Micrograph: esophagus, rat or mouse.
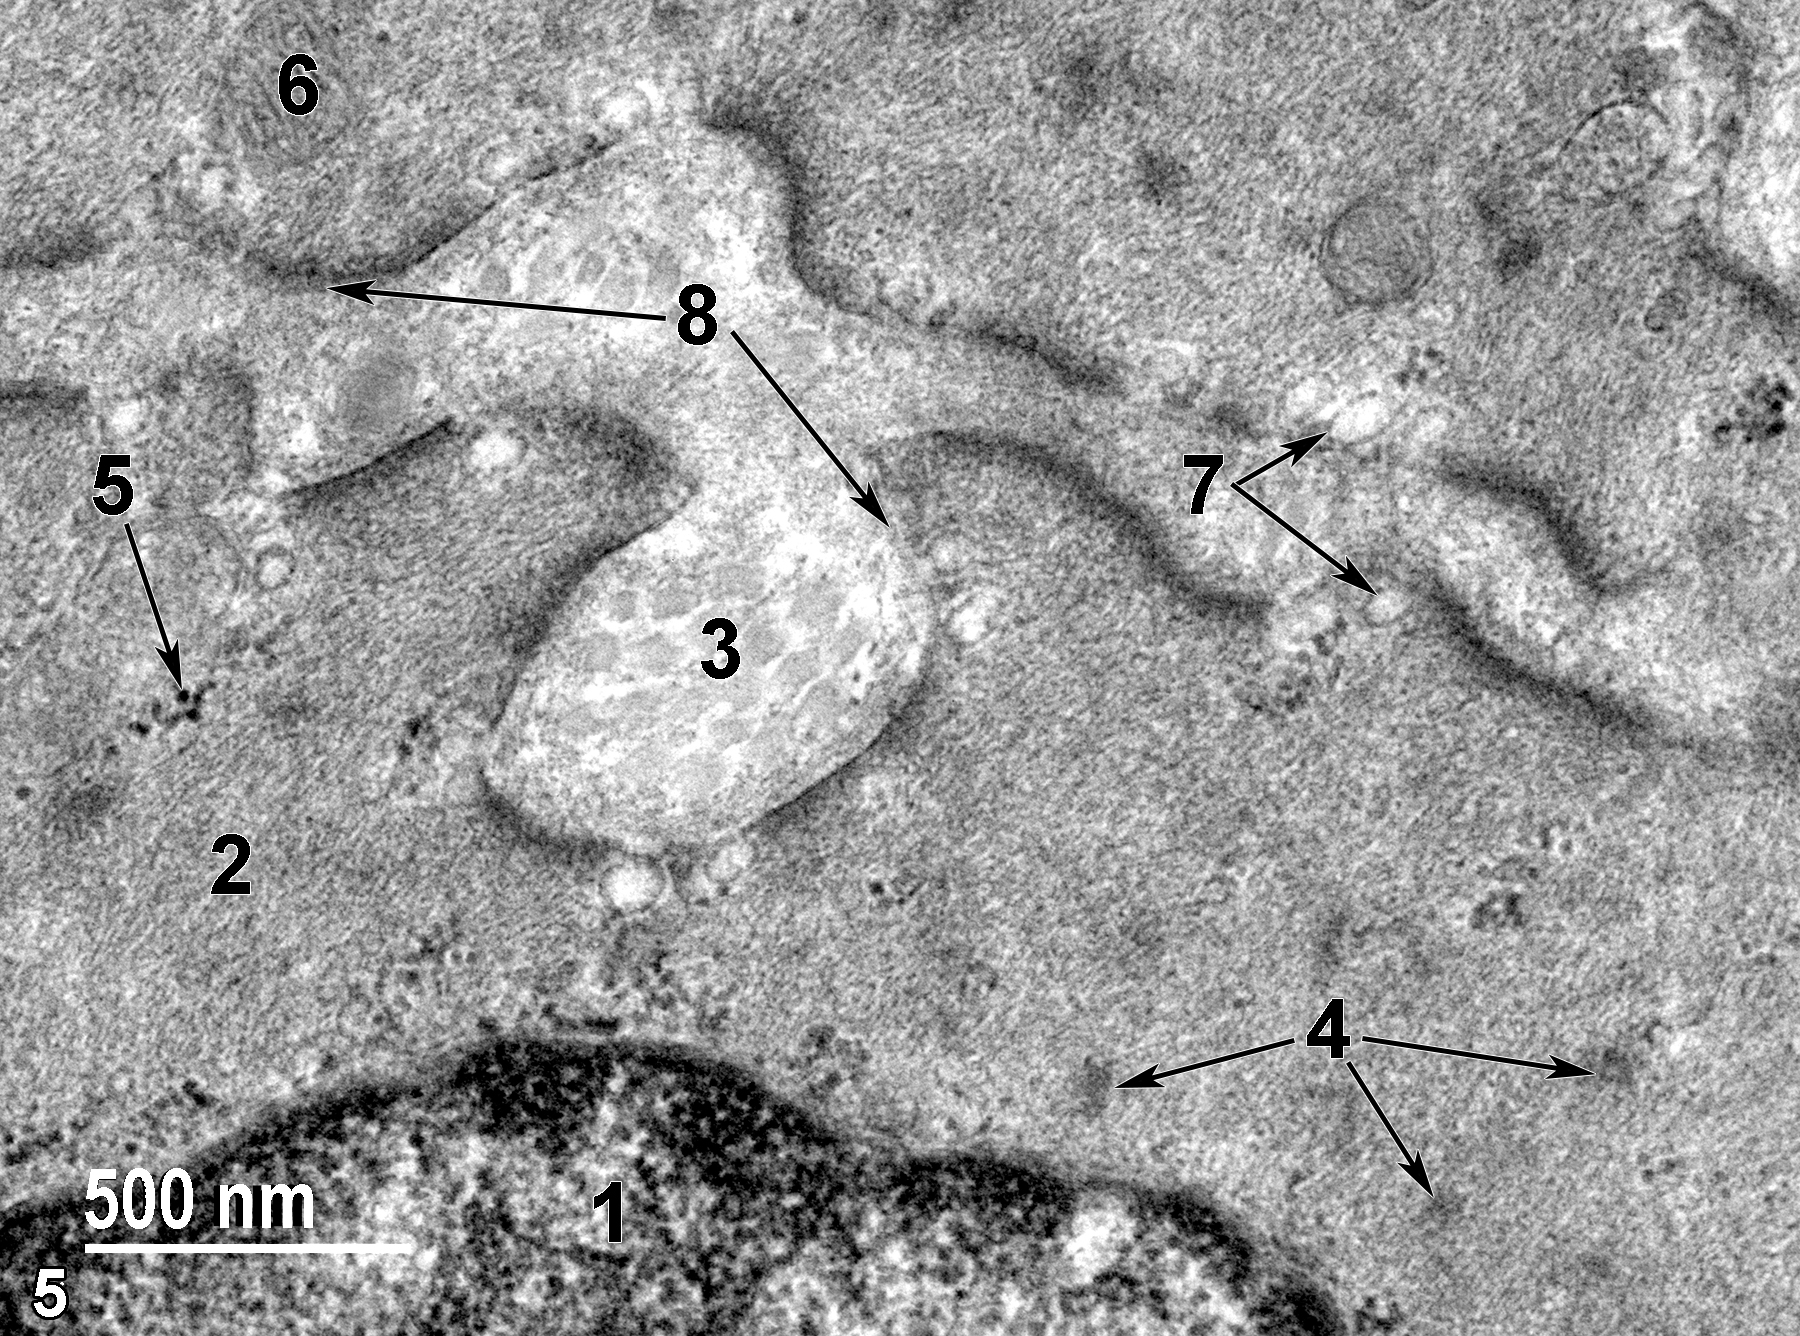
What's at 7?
7 marks the micropinocytotic vesicles.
